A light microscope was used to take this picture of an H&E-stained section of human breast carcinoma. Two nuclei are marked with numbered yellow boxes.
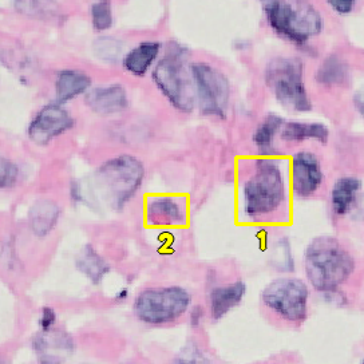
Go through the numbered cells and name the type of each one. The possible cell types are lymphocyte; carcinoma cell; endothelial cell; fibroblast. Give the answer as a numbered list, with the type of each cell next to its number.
1. carcinoma cell
2. endothelial cell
